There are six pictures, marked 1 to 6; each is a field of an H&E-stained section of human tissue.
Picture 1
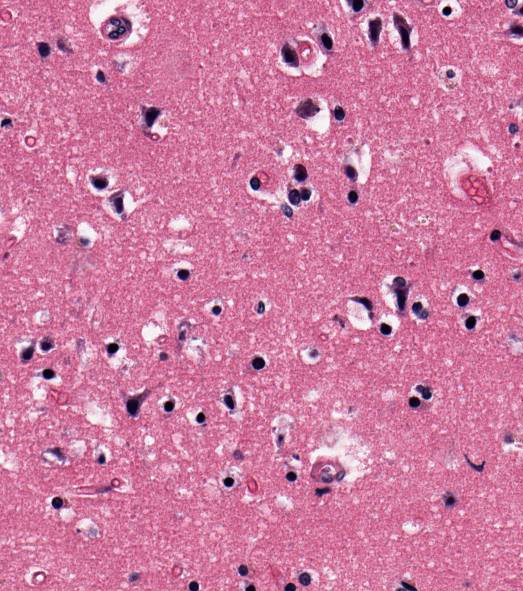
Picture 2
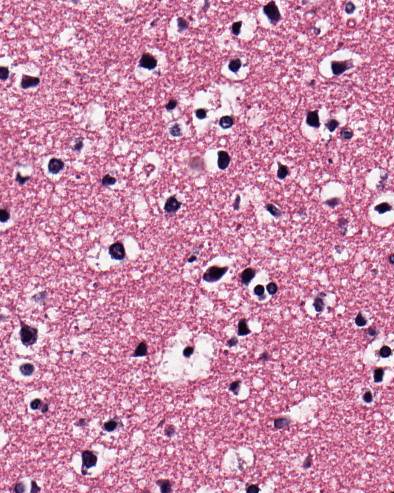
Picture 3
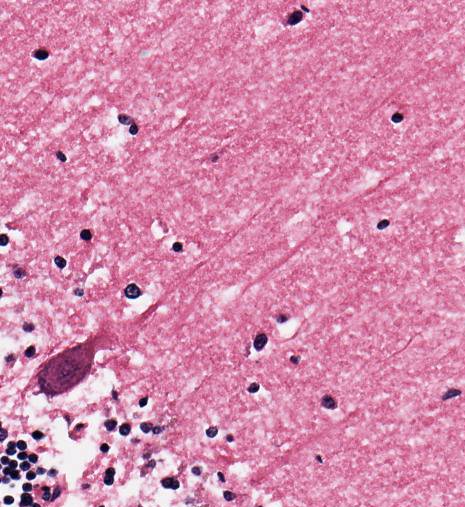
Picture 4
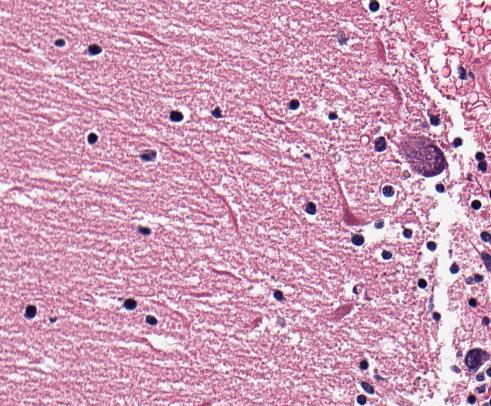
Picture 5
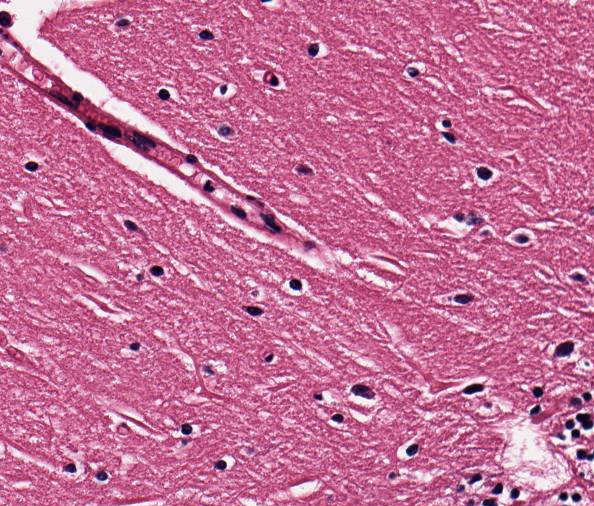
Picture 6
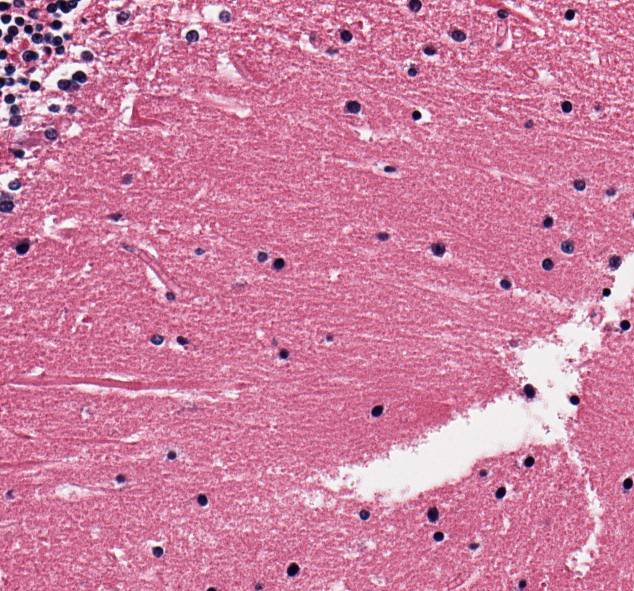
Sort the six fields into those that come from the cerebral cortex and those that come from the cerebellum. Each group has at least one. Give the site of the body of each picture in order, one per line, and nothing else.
cerebral cortex
cerebral cortex
cerebellum
cerebellum
cerebellum
cerebellum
